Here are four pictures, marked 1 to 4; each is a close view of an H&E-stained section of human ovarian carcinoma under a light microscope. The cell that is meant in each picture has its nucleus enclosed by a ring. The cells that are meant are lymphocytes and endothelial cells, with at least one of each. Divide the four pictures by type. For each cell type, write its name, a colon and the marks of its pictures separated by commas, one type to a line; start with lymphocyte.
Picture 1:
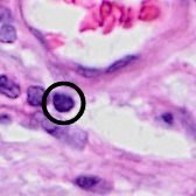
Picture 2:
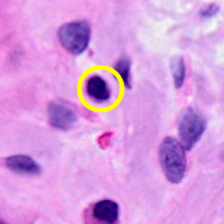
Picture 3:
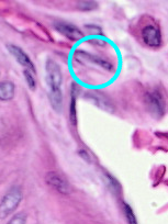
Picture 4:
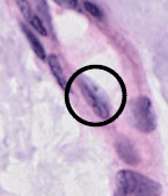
lymphocyte: 1, 2
endothelial cell: 3, 4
